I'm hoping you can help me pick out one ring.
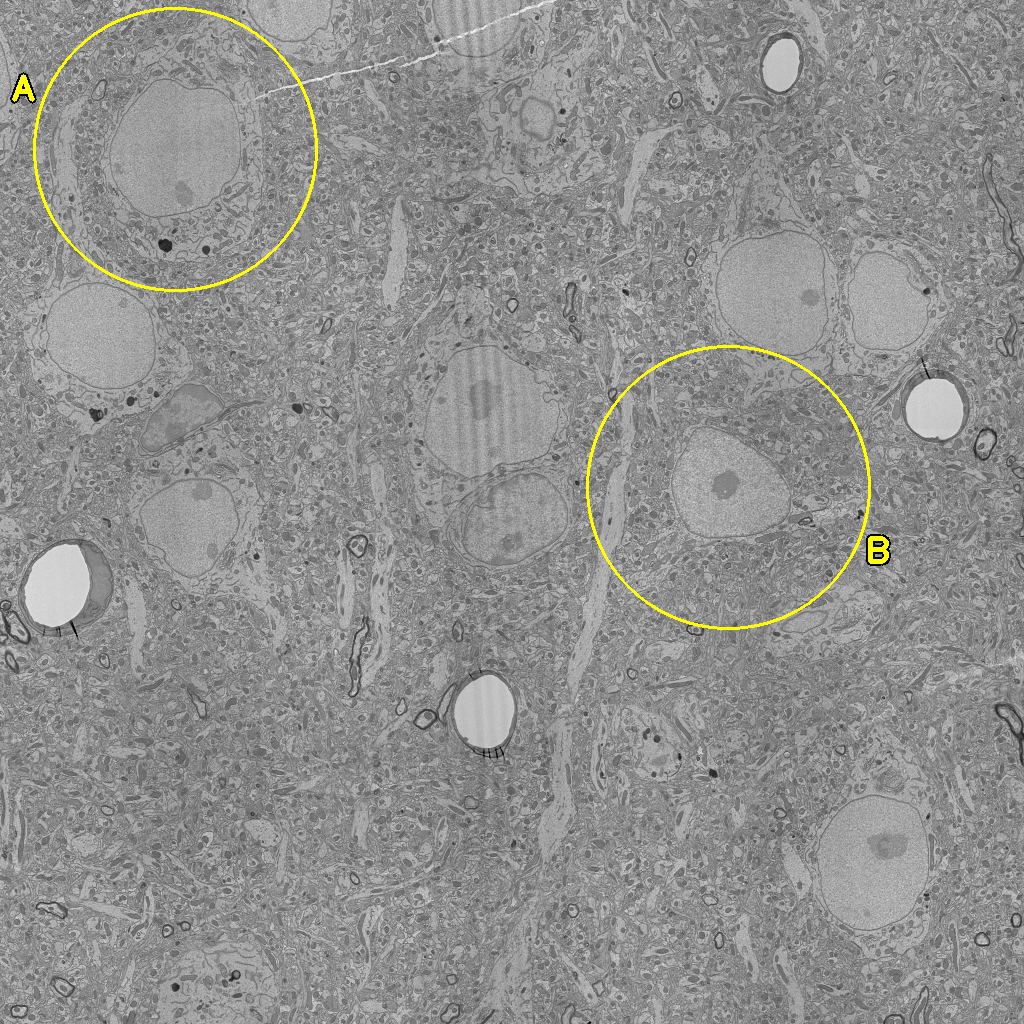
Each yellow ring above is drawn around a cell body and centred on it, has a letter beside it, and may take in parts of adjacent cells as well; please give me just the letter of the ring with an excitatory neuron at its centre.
A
